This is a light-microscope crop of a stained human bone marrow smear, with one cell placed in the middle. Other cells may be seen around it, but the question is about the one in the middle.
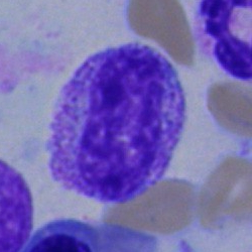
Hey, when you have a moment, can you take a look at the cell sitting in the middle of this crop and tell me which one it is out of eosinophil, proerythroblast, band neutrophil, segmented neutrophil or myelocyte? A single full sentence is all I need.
Framed in the middle of the crop is a myelocyte.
